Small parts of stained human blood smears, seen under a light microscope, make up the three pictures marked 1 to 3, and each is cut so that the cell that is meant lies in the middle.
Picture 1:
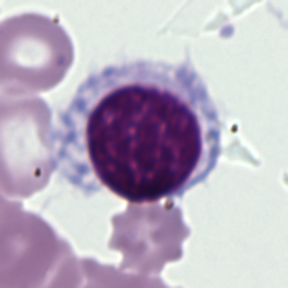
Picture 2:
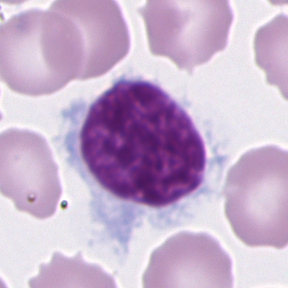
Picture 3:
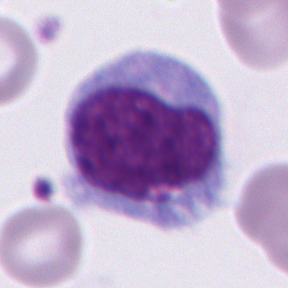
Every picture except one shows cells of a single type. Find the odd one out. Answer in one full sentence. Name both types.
The others show hairy cells, but picture 3 shows a monocyte.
